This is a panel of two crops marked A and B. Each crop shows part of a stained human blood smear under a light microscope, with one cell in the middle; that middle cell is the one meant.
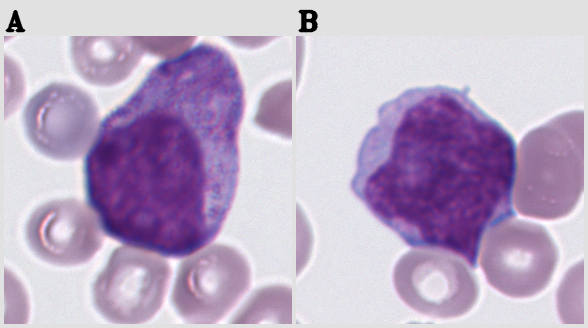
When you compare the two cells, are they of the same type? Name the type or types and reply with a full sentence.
Yes, what both crops show is atypical promyelocytes.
